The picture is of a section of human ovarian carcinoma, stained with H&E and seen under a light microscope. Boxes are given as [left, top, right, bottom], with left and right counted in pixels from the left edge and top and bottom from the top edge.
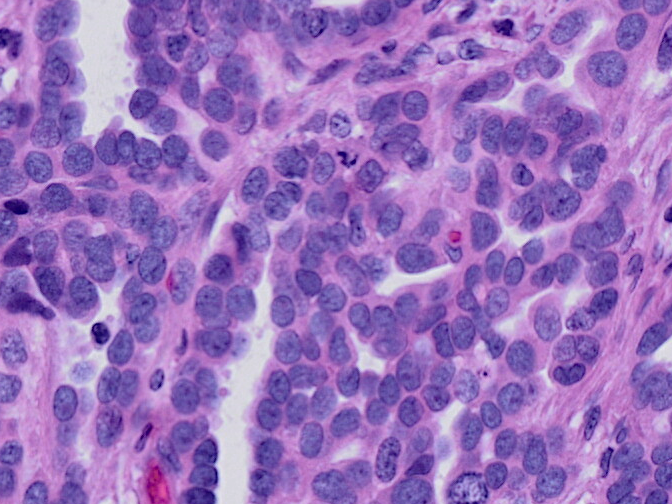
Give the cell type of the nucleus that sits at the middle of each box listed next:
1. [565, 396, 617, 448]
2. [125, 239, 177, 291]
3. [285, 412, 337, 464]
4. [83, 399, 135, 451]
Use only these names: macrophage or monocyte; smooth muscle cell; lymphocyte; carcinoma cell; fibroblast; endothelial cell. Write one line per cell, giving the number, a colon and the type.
1: fibroblast
2: carcinoma cell
3: carcinoma cell
4: carcinoma cell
